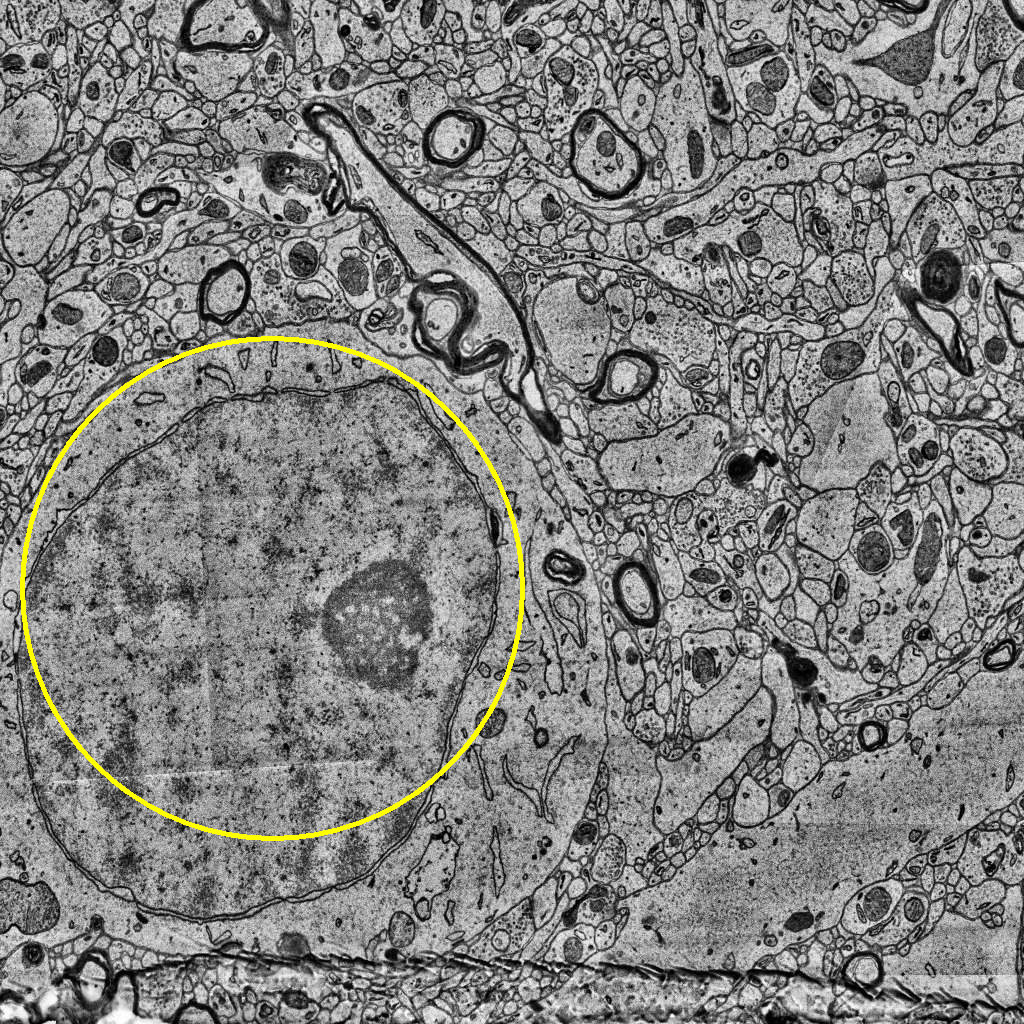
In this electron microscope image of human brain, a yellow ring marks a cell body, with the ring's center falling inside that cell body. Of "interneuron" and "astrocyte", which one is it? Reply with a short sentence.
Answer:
It is an interneuron at the center of the ring.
